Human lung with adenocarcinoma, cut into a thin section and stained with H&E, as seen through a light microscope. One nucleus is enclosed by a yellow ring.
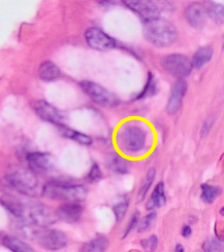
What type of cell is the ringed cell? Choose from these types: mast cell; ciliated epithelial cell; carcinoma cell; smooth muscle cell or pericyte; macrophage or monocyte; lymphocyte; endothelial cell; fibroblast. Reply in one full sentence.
Considered by cell type, the ringed cell is a ciliated epithelial cell.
